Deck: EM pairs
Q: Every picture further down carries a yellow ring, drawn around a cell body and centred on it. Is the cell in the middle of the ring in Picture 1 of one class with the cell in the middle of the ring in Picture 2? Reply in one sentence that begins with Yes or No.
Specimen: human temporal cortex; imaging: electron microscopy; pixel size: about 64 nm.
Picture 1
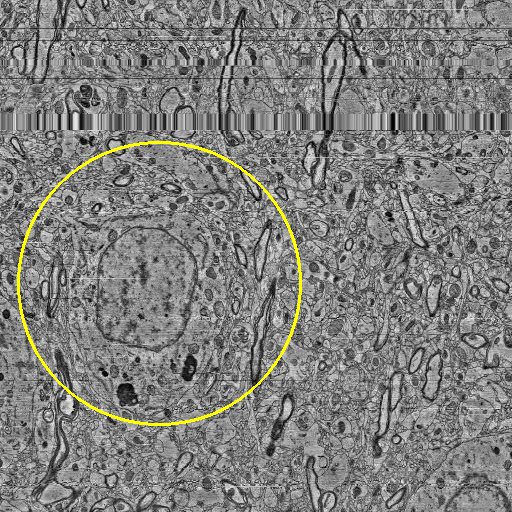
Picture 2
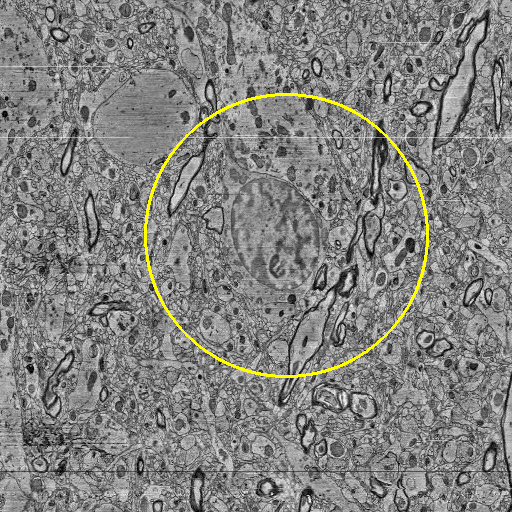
No, the cell centred in the ring of Picture 1 and the one in Picture 2 belong to separate classes.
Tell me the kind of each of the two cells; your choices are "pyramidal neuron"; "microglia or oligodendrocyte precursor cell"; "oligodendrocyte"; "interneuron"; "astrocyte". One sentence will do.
The ringed cell is a pyramidal neuron in the first picture and an oligodendrocyte in the second picture.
